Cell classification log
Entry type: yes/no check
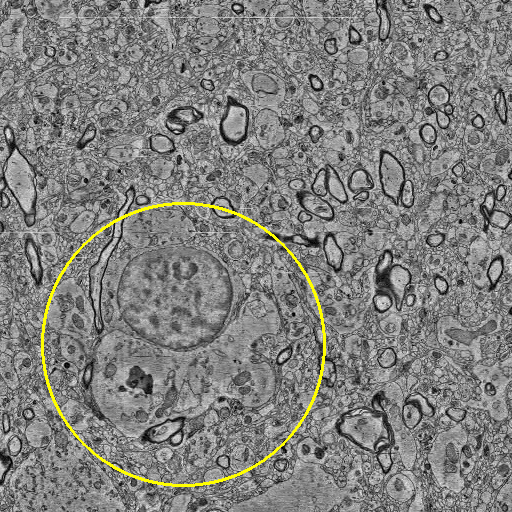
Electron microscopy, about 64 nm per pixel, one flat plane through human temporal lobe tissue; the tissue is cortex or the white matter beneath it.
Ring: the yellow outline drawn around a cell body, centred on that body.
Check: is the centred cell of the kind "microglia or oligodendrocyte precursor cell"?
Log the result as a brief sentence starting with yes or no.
No, the cell is of another kind.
